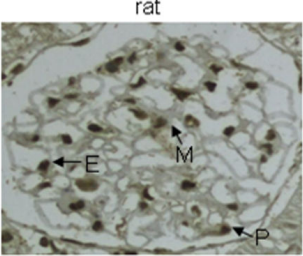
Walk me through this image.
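The field is filled by a glomerular tuft of thin-walled capillary loops, with many oval to rounded nuclei spread among them. The nuclei are stained brown, whereas the loop walls and surrounding spaces are pale.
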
